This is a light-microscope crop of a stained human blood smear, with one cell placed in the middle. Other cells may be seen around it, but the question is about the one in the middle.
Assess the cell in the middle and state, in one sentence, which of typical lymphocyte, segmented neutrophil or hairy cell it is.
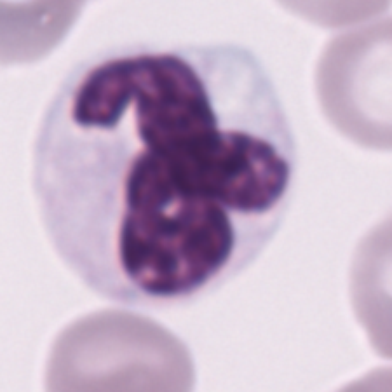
The cell that lies at the centre of the crop is a segmented neutrophil.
